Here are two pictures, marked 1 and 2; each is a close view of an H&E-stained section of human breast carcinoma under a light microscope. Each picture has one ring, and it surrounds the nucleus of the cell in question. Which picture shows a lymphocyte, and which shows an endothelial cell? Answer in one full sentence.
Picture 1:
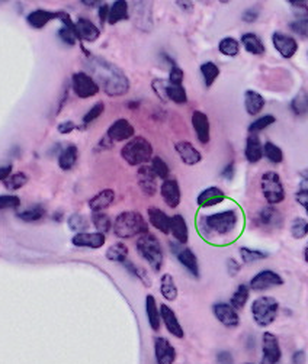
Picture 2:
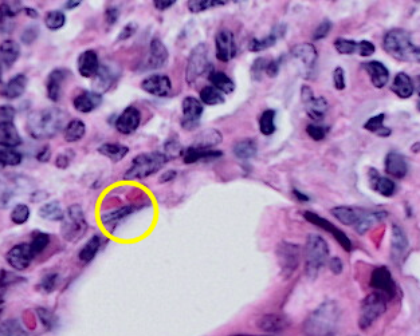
In picture 1 the cell is a lymphocyte; in picture 2, an endothelial cell.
